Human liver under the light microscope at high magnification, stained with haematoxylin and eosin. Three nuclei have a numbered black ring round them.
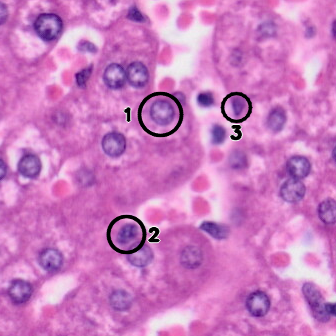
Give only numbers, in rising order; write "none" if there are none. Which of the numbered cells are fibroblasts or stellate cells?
2, 3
